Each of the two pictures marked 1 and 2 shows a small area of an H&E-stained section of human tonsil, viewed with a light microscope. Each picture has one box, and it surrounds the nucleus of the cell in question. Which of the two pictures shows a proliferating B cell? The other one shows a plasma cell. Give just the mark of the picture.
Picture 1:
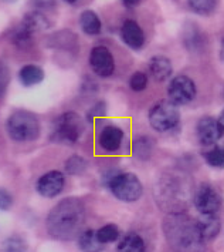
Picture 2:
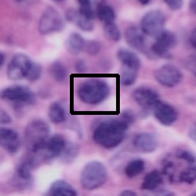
2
